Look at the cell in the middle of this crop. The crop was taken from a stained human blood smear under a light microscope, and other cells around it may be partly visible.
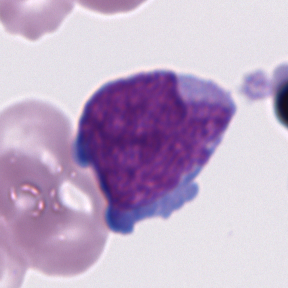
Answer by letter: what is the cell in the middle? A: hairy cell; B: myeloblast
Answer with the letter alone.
B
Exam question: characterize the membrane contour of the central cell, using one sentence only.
The cytoplasmic margin is uneven, whether through ragged segments or through projections.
